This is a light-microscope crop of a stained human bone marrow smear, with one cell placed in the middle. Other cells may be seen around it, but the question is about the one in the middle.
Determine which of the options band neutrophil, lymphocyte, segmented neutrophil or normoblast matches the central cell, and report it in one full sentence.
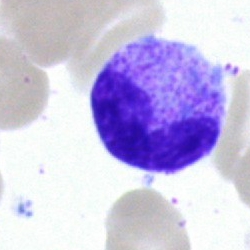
The cell featured at the centre of this crop is a band neutrophil.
